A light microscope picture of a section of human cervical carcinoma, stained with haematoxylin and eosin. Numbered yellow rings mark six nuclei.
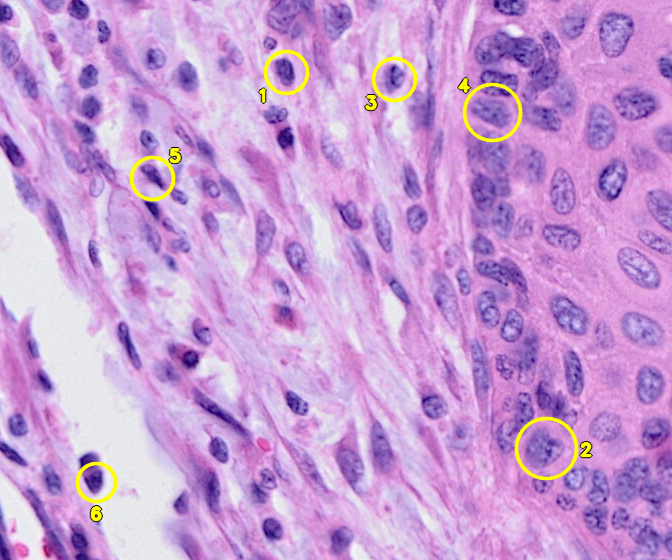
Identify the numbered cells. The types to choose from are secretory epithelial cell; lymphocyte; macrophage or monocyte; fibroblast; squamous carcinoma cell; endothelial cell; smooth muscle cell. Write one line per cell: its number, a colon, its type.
1: lymphocyte
2: squamous carcinoma cell
3: lymphocyte
4: squamous carcinoma cell
5: lymphocyte
6: lymphocyte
